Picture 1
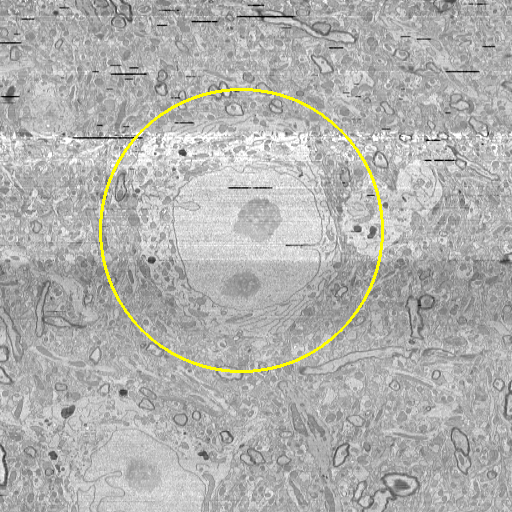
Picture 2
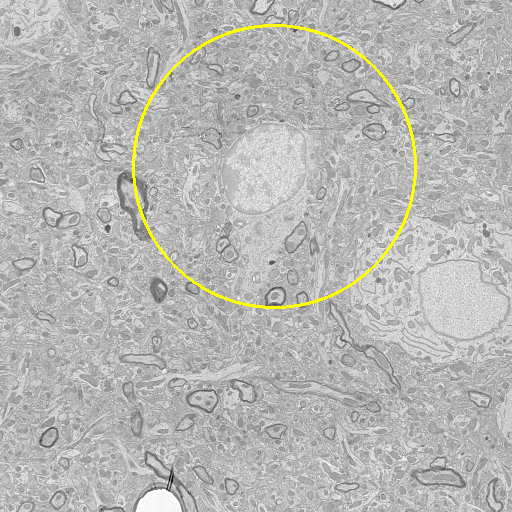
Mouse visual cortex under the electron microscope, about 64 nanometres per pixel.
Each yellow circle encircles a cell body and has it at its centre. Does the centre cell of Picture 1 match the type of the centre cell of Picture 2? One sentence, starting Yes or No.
No, the cell centred in Picture 1 and the one in Picture 2 have separate types.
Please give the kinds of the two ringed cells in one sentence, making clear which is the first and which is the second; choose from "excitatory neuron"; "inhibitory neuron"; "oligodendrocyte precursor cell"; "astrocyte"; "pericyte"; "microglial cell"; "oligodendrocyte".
In the second picture the ringed cell is an oligodendrocyte; in the first it is an excitatory neuron.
